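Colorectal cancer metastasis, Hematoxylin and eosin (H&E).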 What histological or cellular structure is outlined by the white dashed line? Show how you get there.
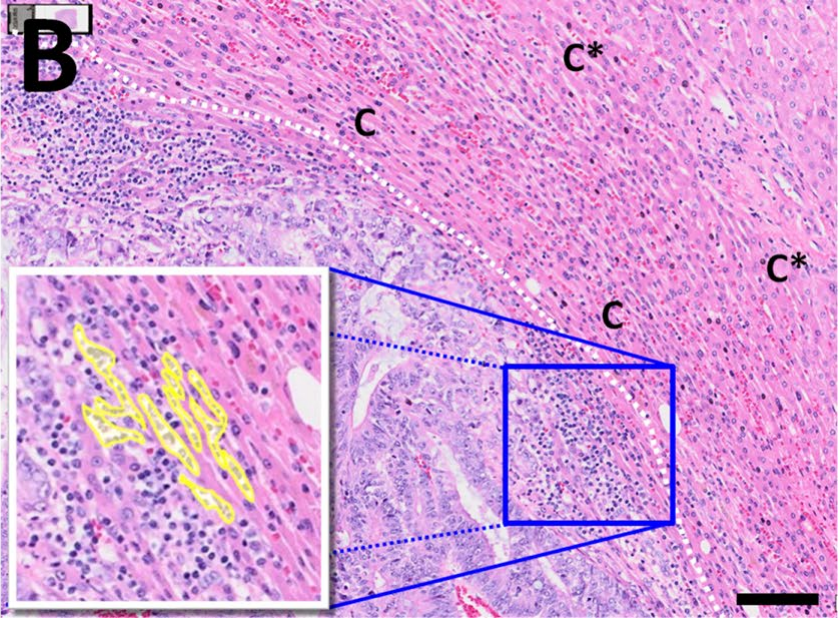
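Tumor boundary. To the left of the line lie glands of crowded purple cells and a band of small dark nuclei. To the right lie pink plates of cells stretched parallel to the line.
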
